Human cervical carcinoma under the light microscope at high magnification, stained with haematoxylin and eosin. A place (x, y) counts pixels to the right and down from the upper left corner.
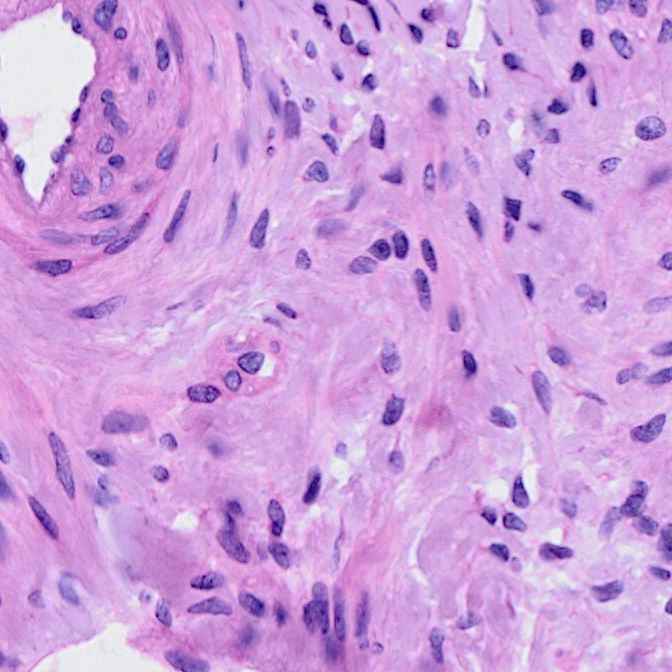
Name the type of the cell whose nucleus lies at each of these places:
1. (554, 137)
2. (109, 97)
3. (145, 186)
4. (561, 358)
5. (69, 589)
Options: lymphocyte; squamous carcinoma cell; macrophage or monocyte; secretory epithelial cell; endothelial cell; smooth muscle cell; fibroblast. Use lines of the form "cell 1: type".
cell 1: fibroblast
cell 2: smooth muscle cell
cell 3: smooth muscle cell
cell 4: fibroblast
cell 5: fibroblast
